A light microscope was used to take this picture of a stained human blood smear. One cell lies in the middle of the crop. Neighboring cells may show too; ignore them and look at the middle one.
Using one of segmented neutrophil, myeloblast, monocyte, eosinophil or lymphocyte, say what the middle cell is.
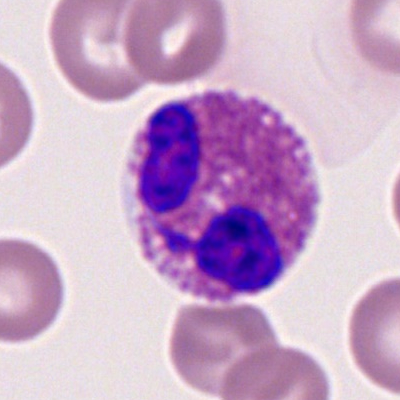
eosinophil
